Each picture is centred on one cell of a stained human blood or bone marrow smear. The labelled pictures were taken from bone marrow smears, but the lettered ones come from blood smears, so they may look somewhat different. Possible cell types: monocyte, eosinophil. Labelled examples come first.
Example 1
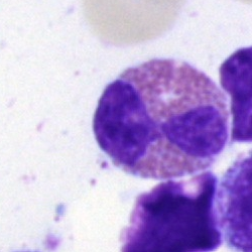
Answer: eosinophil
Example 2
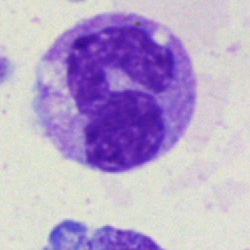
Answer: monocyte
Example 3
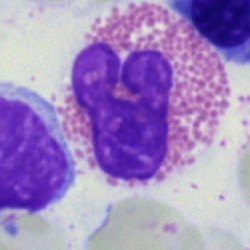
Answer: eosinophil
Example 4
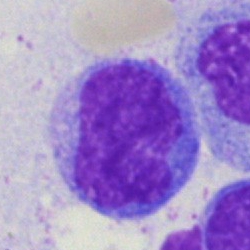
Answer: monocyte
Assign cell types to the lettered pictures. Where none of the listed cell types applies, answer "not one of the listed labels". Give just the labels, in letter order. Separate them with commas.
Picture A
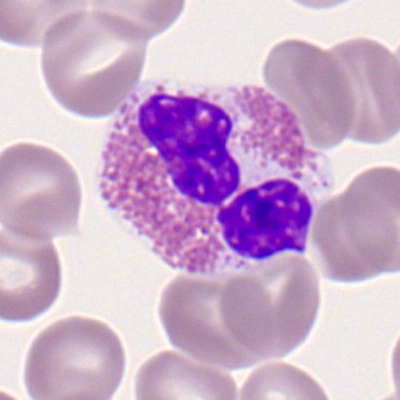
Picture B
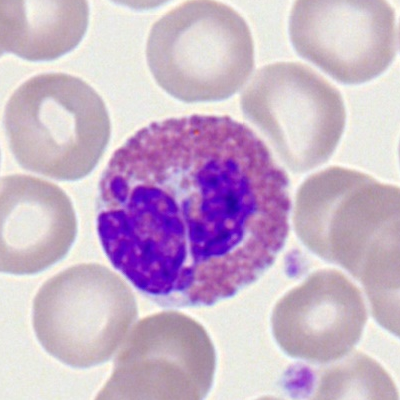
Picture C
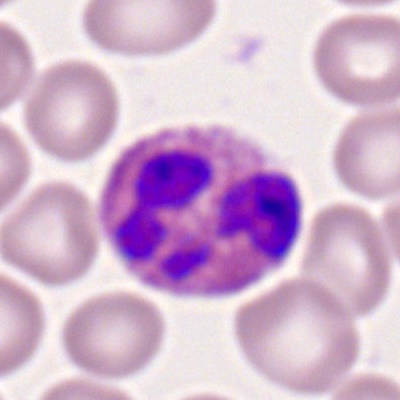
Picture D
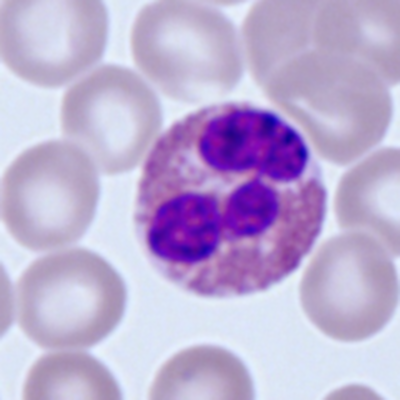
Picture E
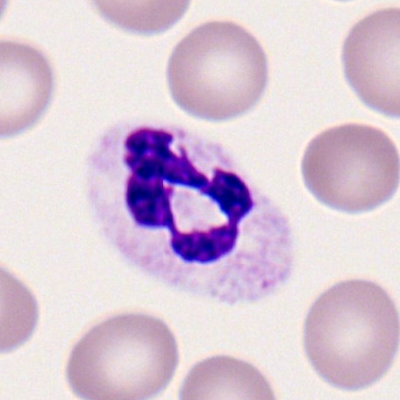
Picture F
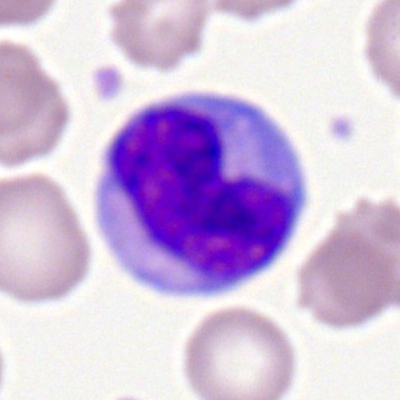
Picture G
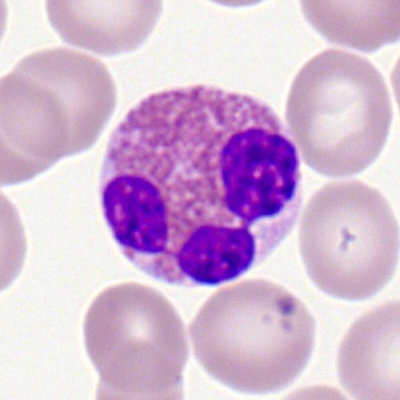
eosinophil, eosinophil, eosinophil, eosinophil, not one of the listed labels, monocyte, eosinophil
